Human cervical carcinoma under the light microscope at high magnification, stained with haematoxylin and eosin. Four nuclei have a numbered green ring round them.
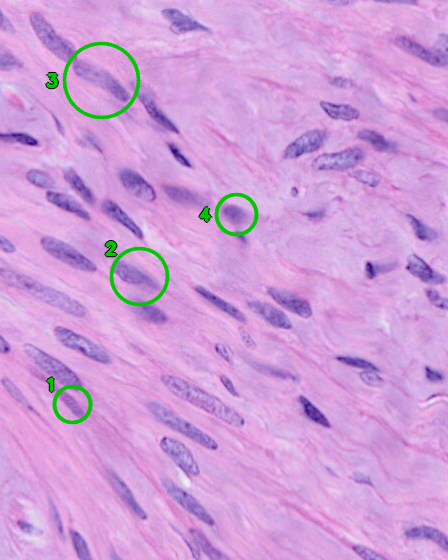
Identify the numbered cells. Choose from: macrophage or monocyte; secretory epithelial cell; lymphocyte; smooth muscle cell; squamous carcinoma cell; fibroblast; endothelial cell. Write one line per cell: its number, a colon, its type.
1: smooth muscle cell
2: fibroblast
3: fibroblast
4: fibroblast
